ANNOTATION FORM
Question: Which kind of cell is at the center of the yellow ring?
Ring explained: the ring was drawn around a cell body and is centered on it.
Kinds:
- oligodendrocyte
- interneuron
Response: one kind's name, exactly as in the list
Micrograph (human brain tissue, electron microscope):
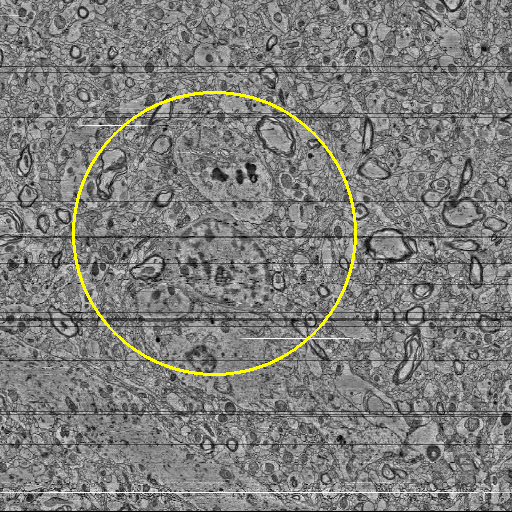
oligodendrocyte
